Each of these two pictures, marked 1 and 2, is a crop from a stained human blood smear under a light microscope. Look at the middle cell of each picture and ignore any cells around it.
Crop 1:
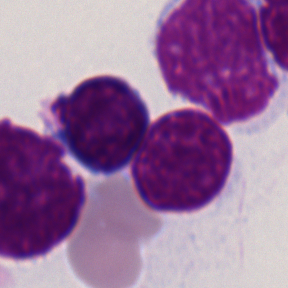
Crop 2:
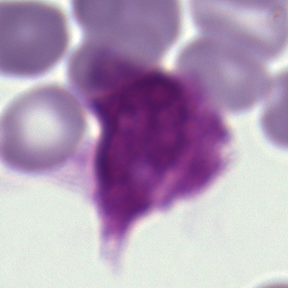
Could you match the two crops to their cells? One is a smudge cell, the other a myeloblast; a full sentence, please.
Crop 1 holds a myeloblast; crop 2 holds a smudge cell.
